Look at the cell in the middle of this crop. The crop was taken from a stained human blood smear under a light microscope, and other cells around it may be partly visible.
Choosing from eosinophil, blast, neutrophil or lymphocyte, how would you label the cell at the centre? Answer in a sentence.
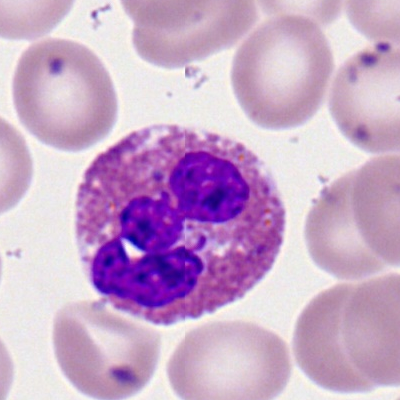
The central cell in this smear crop is an eosinophil.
